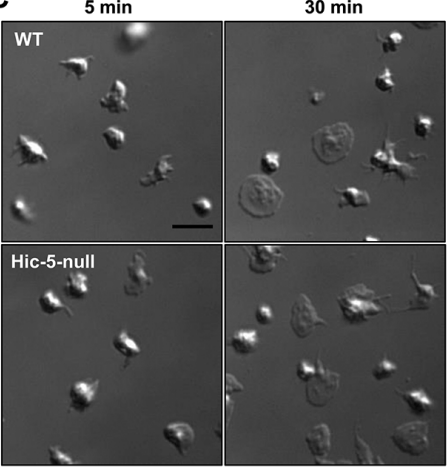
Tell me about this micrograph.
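These are platelets lying singly on a flat surface, each a small cell with no nucleus to be seen. Some are still small and rounded, others put out thin, spiky projections, and some have widened into broad, thin sheets at their edges. A few are fully flattened into round discs with a raised centre.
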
